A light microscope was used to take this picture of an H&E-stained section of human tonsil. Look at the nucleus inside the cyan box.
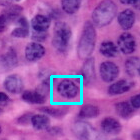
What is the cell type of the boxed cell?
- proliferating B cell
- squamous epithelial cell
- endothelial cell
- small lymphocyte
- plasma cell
plasma cell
